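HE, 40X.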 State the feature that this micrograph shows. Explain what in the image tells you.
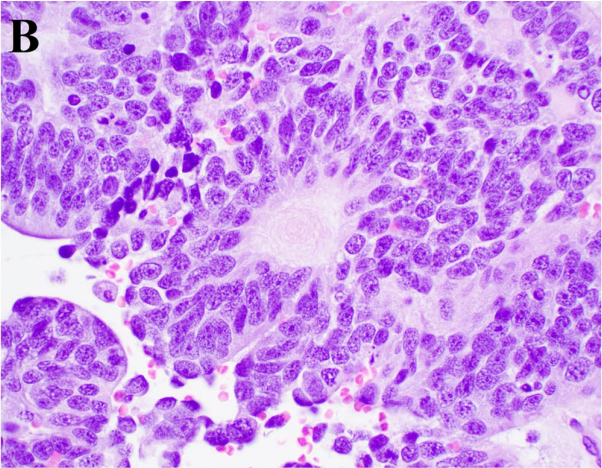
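Neuroblastic rosette. Crowded tumour cells with elongated nuclei radiate around a central point. The centre is a pale pink fibrillar core without a lumen.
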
